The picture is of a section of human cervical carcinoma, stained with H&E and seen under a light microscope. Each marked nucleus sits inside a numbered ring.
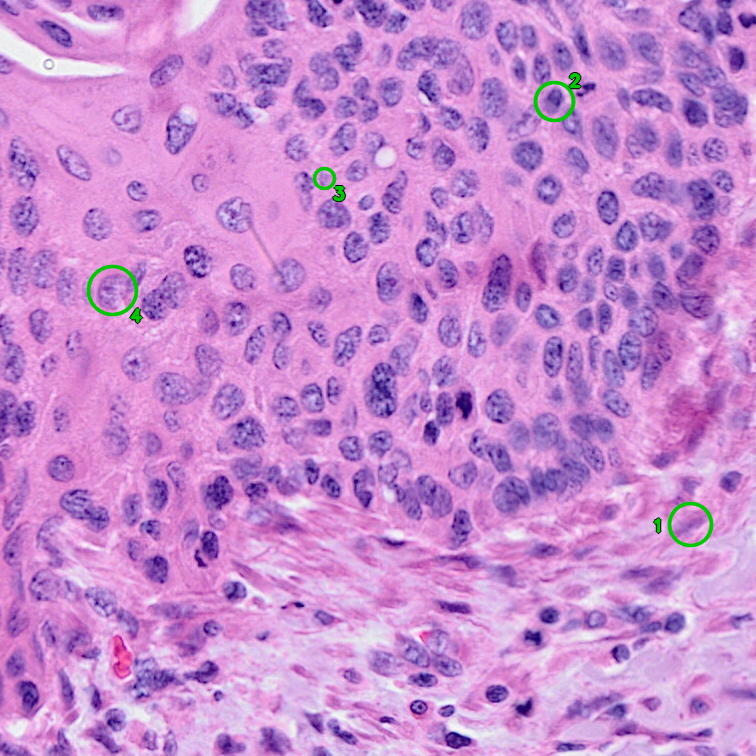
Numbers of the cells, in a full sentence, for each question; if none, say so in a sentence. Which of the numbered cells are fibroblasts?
Of all the numbered cells, only cell 1 is a fibroblast.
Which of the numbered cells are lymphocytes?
None among the numbered cells are lymphocytes.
